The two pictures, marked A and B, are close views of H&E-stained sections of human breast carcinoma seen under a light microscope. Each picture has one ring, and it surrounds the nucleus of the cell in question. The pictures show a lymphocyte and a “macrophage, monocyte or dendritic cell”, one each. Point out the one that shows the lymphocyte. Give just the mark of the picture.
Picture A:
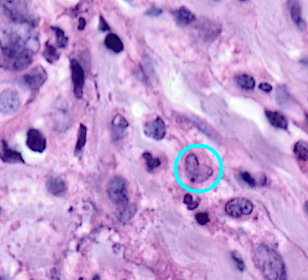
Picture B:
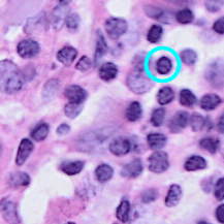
B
